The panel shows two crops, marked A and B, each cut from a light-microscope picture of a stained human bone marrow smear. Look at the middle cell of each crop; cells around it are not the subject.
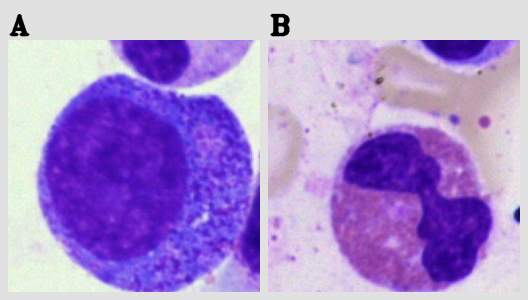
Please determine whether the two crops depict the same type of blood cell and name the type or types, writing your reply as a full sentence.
No, crop A contains a promyelocyte, and crop B contains an eosinophil.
